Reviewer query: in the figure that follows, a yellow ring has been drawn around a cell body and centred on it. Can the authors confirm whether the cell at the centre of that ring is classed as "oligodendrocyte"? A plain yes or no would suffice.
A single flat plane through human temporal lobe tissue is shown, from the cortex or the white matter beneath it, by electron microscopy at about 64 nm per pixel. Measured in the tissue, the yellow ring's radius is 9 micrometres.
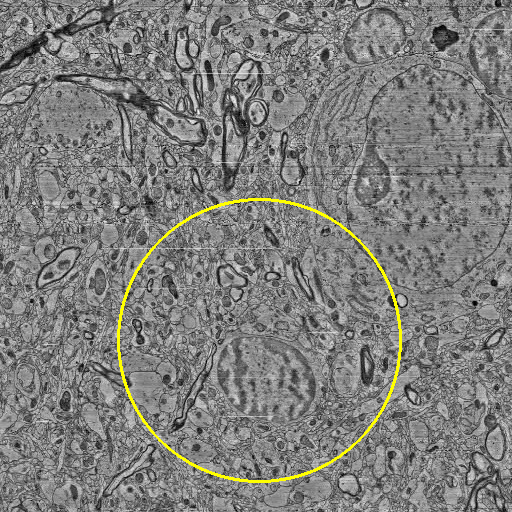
yes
